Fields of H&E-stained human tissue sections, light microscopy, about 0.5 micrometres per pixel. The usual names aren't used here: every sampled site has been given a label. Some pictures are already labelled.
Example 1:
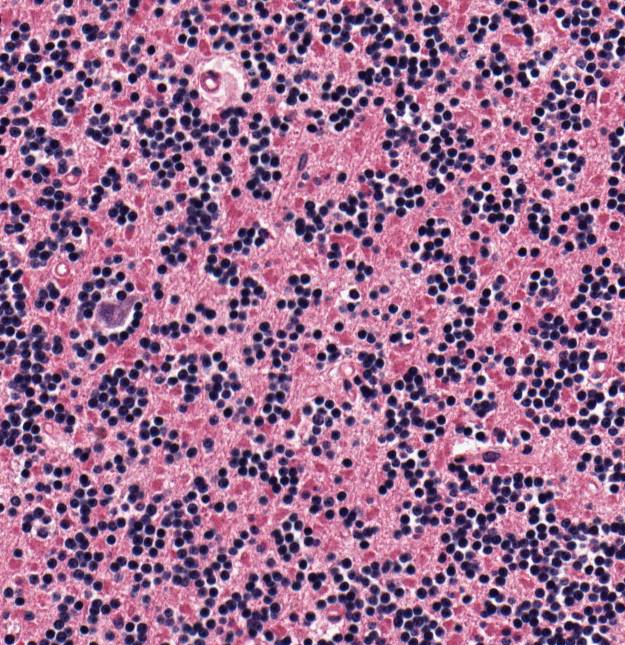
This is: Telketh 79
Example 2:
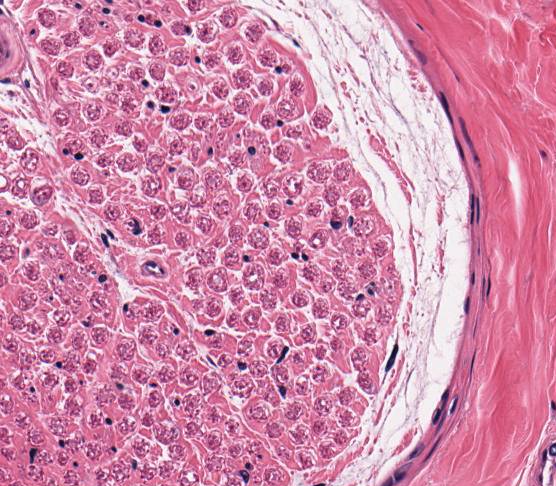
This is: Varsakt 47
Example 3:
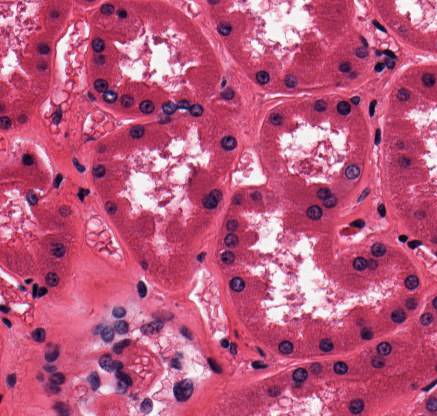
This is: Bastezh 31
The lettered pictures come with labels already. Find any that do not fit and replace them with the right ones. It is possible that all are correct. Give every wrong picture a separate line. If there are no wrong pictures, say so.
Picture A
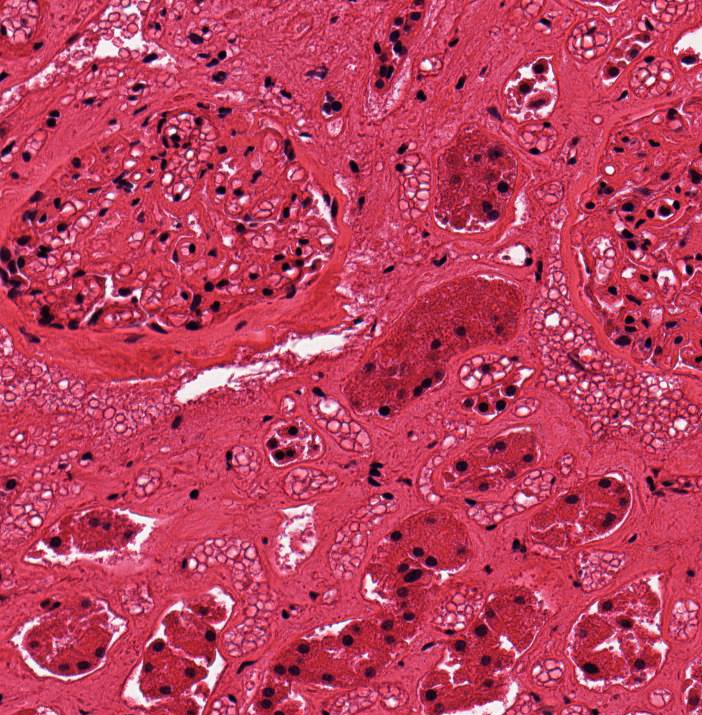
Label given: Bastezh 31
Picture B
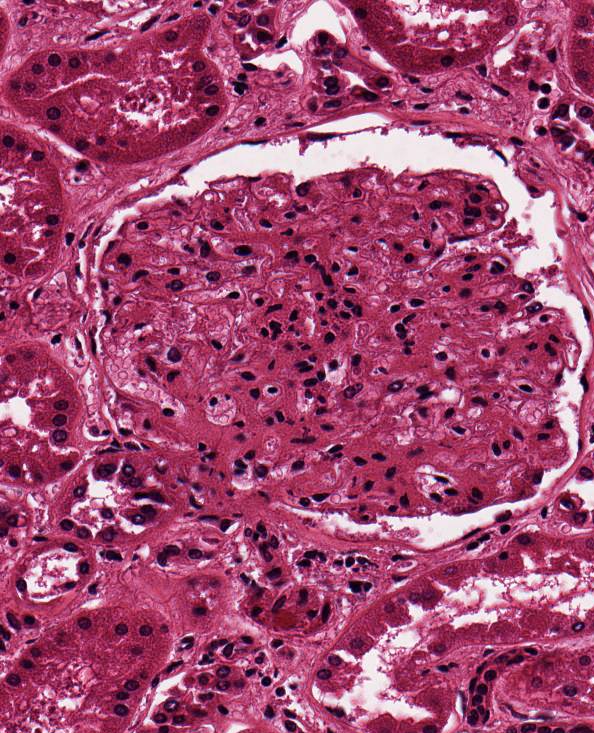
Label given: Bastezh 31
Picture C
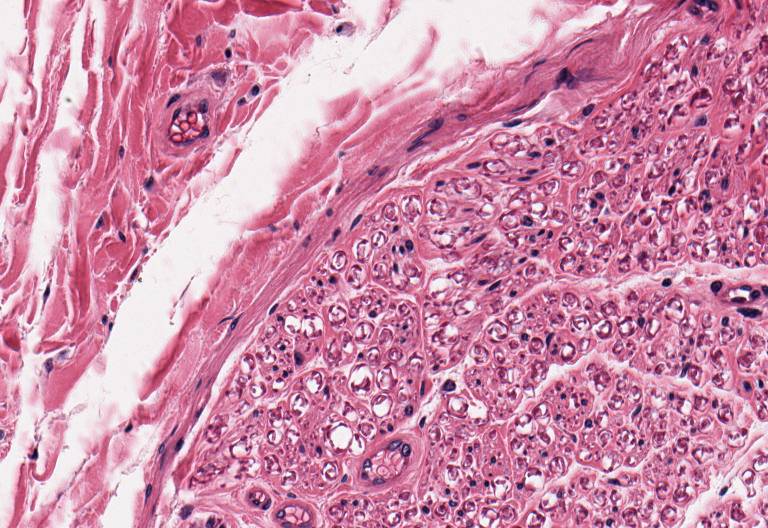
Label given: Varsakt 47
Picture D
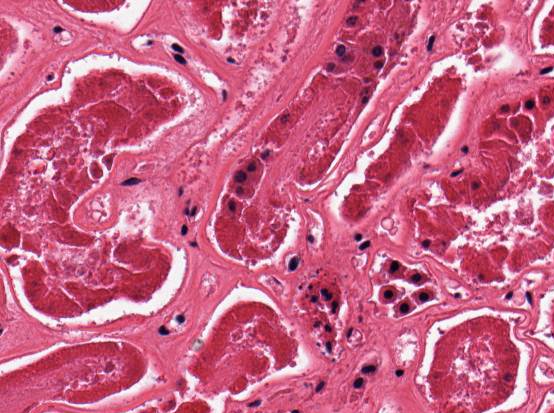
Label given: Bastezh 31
All correct.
